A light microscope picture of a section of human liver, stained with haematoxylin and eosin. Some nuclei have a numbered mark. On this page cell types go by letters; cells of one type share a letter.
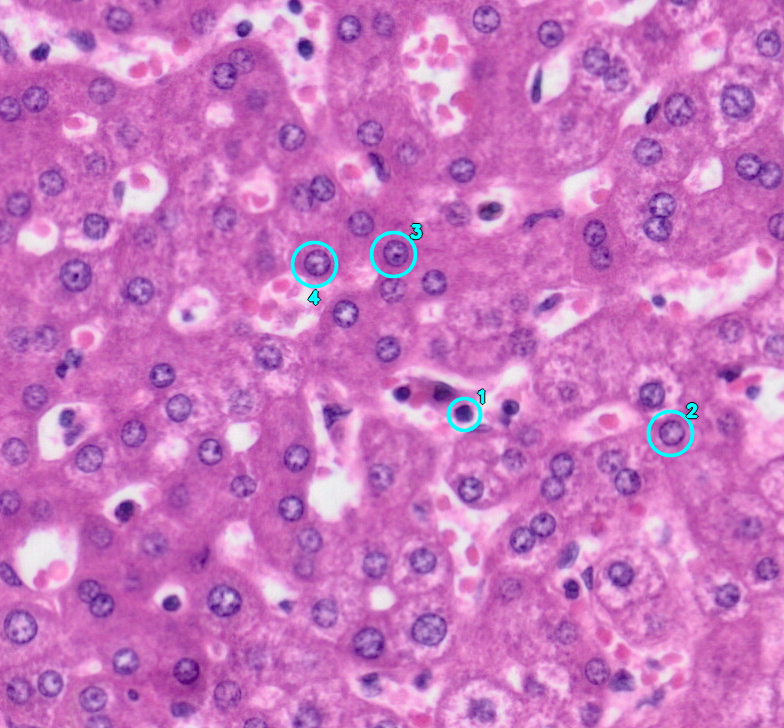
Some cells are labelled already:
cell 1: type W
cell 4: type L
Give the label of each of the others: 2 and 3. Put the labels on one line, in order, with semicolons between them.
type L; type L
